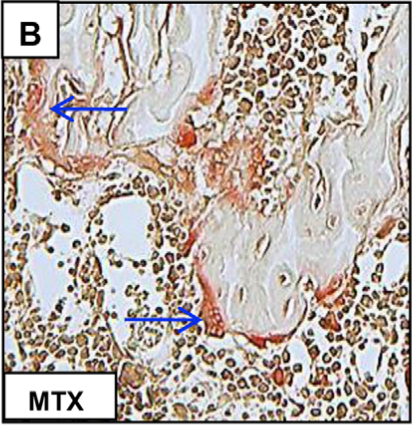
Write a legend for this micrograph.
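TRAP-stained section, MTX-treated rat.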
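This is trabecular bone with red-stained osteoclasts sitting on the surfaces of pale bone trabeculae. The trabeculae are a pale matrix holding scattered small lacunae with osteocytes. The osteoclasts are large, irregular, red-stained cells pressed against the bone edges. The spaces between the trabeculae are filled with densely packed small round marrow cells that have dark nuclei.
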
